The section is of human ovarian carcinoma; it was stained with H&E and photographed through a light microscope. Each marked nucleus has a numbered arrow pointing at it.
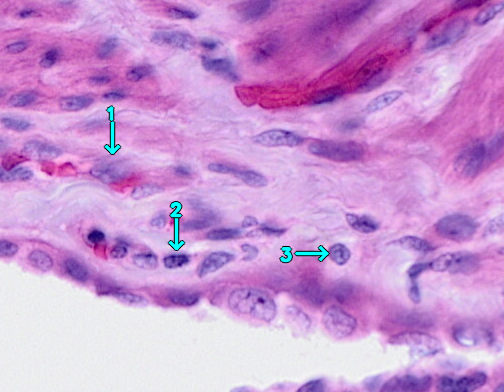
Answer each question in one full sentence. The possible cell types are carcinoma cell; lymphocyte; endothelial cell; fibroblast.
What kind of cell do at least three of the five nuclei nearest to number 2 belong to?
Of the five nuclei nearest to number 2, most belong to endothelial cells.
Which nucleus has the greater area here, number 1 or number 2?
At about 2 times the area of nucleus 2, nucleus 1 is the larger of the two.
